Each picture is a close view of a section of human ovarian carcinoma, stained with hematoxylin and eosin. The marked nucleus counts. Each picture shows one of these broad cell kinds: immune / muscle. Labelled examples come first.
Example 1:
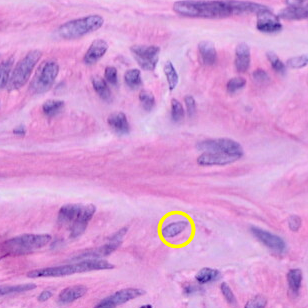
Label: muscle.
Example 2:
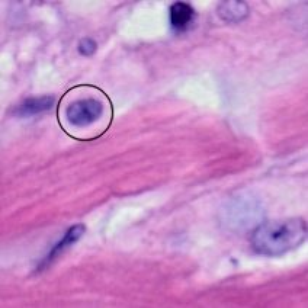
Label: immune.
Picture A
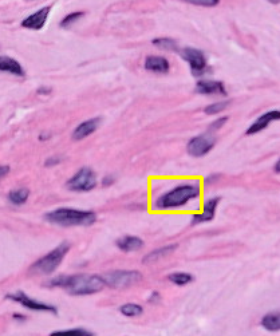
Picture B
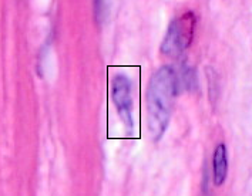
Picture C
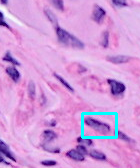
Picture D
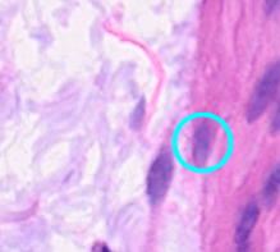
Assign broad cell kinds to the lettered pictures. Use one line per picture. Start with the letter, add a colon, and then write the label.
A: muscle.
B: immune.
C: muscle.
D: muscle.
